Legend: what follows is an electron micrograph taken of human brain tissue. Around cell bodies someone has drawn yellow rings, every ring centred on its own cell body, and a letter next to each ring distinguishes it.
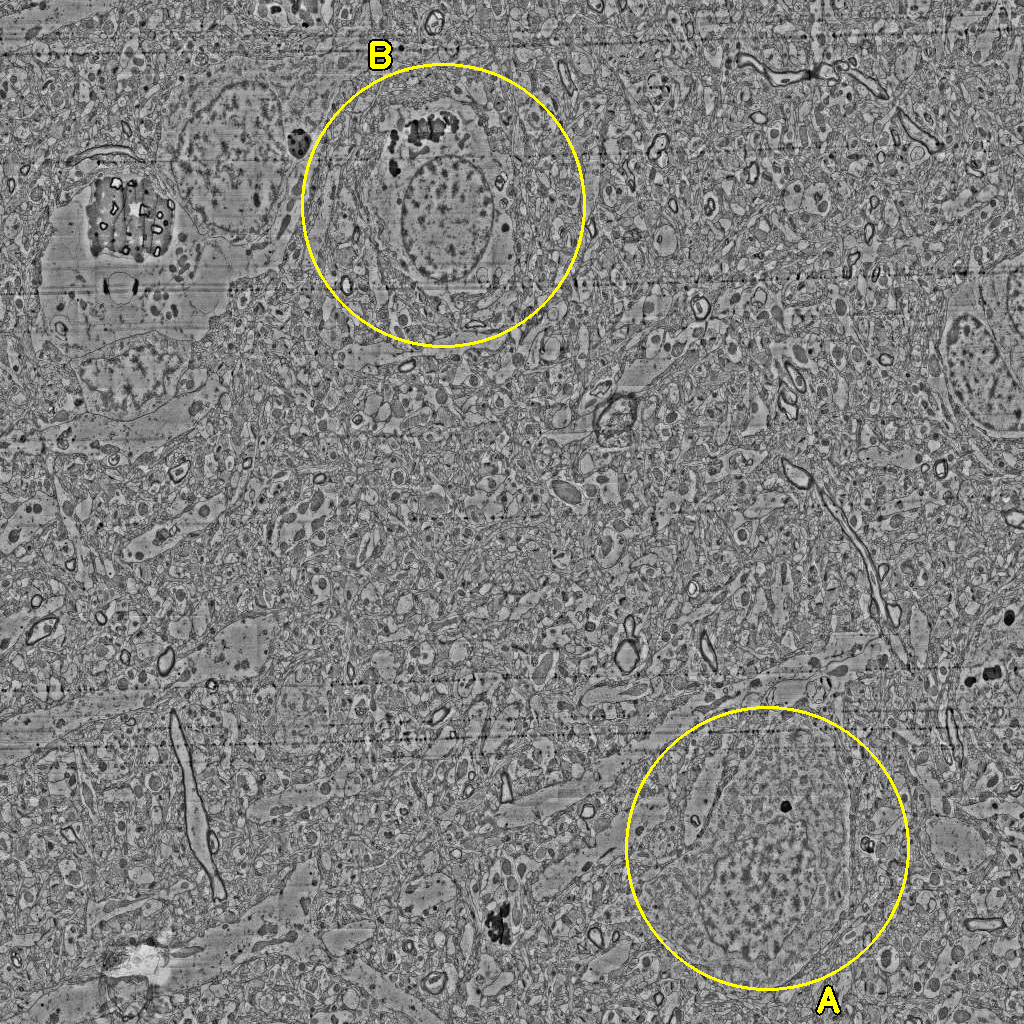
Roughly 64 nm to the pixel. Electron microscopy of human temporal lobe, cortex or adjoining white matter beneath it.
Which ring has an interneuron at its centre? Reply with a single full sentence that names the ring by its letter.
Ring A is the one centred on the cell asked for in the picture.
